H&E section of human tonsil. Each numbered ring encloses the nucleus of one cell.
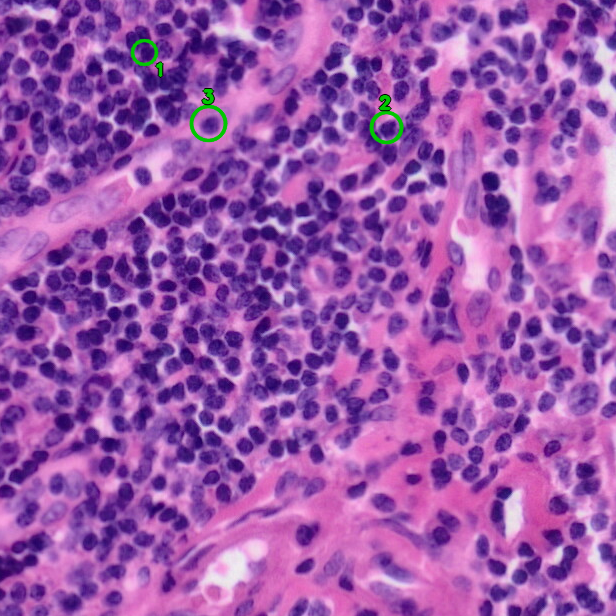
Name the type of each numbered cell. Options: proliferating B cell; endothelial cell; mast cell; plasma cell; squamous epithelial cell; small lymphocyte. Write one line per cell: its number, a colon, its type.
1: small lymphocyte
2: small lymphocyte
3: endothelial cell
